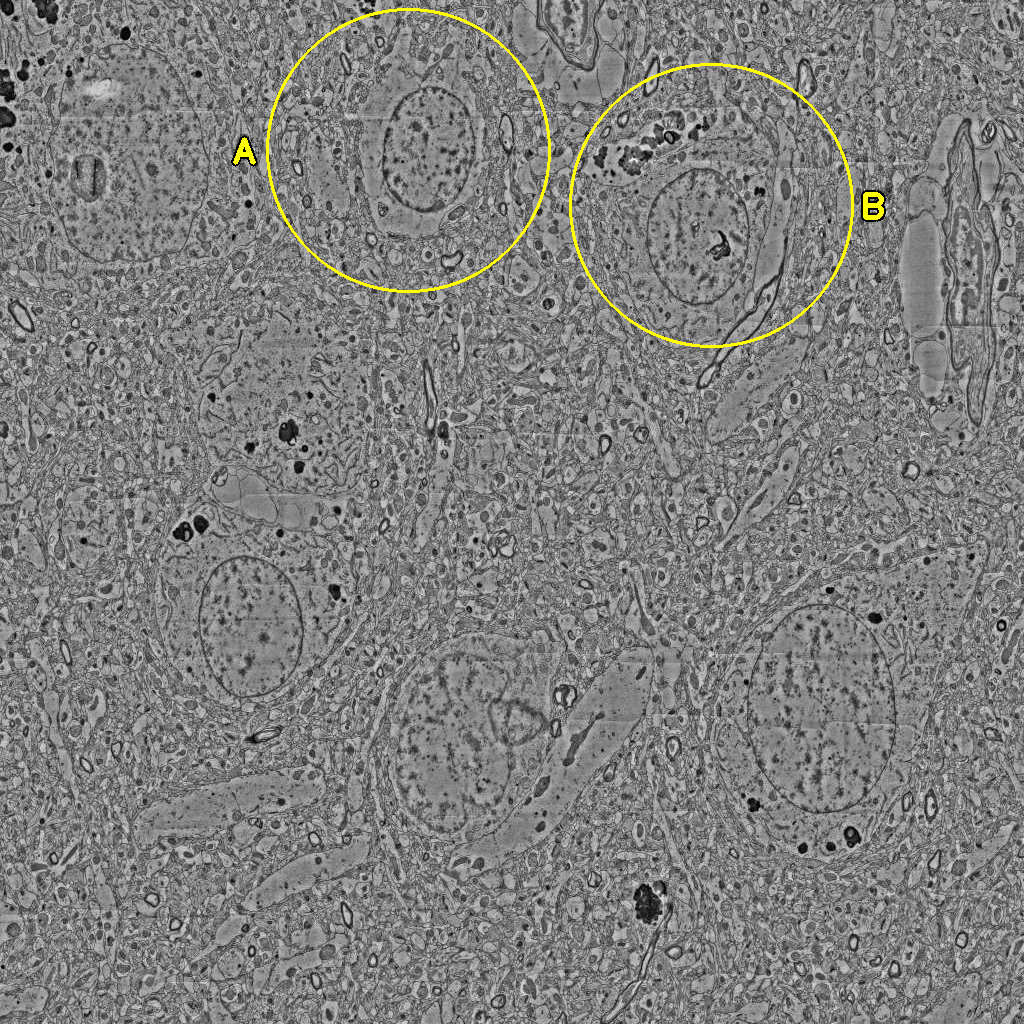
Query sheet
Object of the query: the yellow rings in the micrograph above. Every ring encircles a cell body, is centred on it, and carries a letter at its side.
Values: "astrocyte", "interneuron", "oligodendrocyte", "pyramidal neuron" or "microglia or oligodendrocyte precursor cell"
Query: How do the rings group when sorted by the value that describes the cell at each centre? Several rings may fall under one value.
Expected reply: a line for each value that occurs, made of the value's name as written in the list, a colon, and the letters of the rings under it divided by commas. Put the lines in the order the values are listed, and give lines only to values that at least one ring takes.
astrocyte: A
pyramidal neuron: B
